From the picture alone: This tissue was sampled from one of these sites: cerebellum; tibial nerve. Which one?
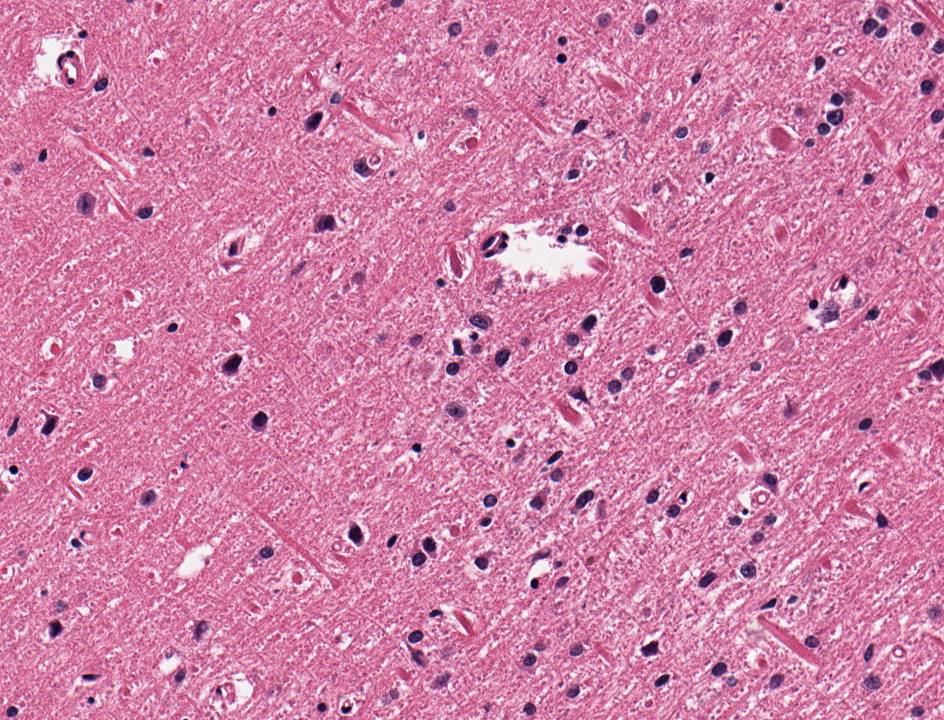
cerebellum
